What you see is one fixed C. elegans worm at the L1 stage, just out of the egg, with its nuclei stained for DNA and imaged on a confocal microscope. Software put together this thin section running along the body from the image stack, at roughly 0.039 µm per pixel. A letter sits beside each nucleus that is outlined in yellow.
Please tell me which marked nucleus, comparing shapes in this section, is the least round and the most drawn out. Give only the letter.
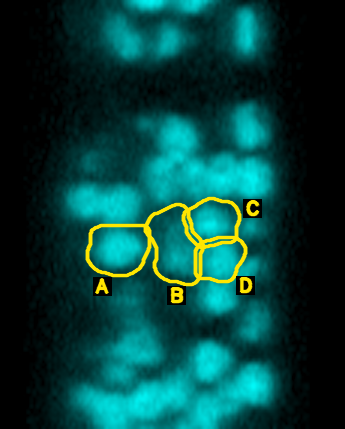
B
